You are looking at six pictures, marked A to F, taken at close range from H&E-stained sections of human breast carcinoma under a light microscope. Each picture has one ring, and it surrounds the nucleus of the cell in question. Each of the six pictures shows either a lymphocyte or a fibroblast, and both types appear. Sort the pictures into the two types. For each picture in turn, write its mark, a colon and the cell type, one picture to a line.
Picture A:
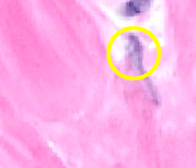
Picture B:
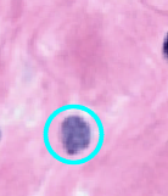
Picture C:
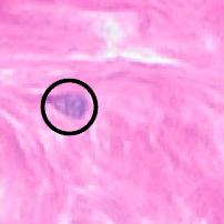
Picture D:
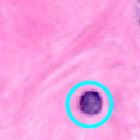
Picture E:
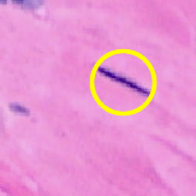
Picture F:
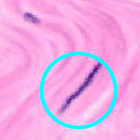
A: fibroblast
B: lymphocyte
C: fibroblast
D: lymphocyte
E: fibroblast
F: fibroblast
